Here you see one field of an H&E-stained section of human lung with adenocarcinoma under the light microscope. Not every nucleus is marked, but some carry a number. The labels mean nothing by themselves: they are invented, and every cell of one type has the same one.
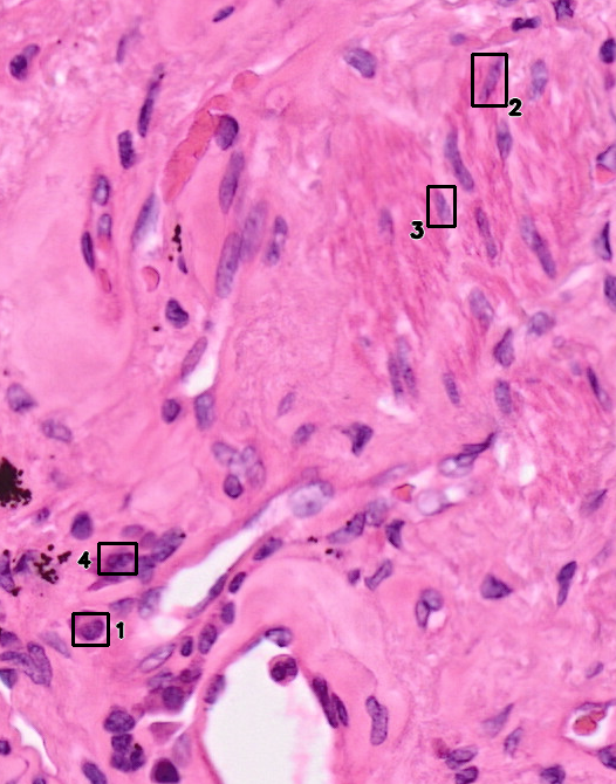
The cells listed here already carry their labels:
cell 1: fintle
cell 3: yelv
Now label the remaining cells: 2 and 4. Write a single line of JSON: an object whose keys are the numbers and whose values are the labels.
{"2": "yelv", "4": "fintle"}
